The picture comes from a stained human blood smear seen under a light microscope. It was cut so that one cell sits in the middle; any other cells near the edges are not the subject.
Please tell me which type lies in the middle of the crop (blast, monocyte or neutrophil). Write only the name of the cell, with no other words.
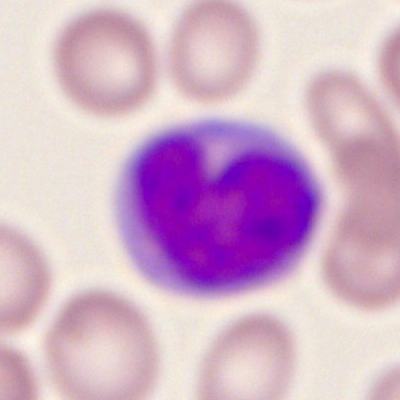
monocyte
